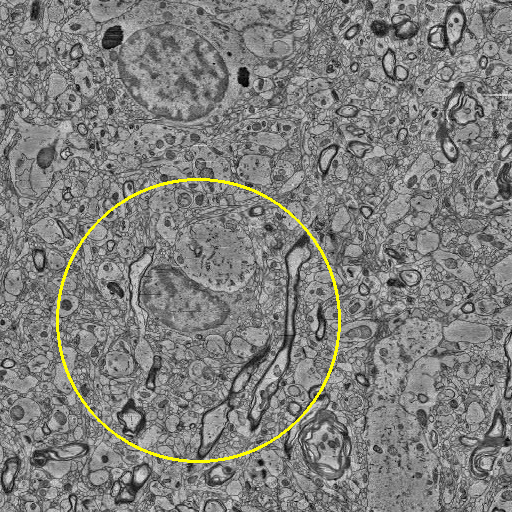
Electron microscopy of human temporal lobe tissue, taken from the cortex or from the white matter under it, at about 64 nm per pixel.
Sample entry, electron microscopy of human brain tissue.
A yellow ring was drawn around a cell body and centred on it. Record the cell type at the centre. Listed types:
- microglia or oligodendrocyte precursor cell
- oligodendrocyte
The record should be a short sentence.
The cell at the ring's centre is an oligodendrocyte.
